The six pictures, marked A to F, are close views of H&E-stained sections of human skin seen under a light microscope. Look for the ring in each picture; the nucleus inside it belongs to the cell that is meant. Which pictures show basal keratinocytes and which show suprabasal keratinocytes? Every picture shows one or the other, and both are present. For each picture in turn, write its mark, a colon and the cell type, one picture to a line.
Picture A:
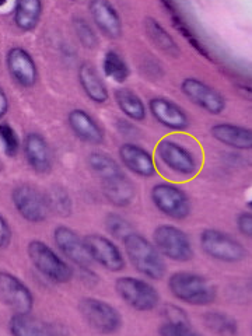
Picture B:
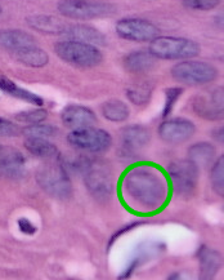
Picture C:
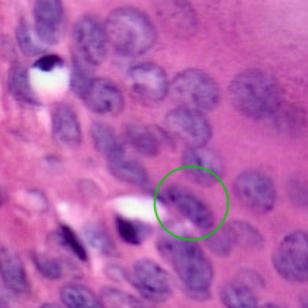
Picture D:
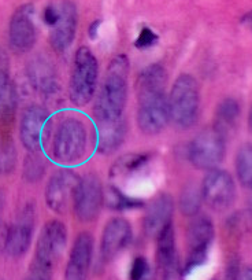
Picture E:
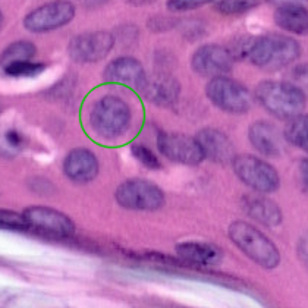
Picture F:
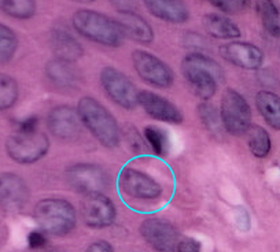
A: suprabasal keratinocyte
B: basal keratinocyte
C: basal keratinocyte
D: suprabasal keratinocyte
E: suprabasal keratinocyte
F: basal keratinocyte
